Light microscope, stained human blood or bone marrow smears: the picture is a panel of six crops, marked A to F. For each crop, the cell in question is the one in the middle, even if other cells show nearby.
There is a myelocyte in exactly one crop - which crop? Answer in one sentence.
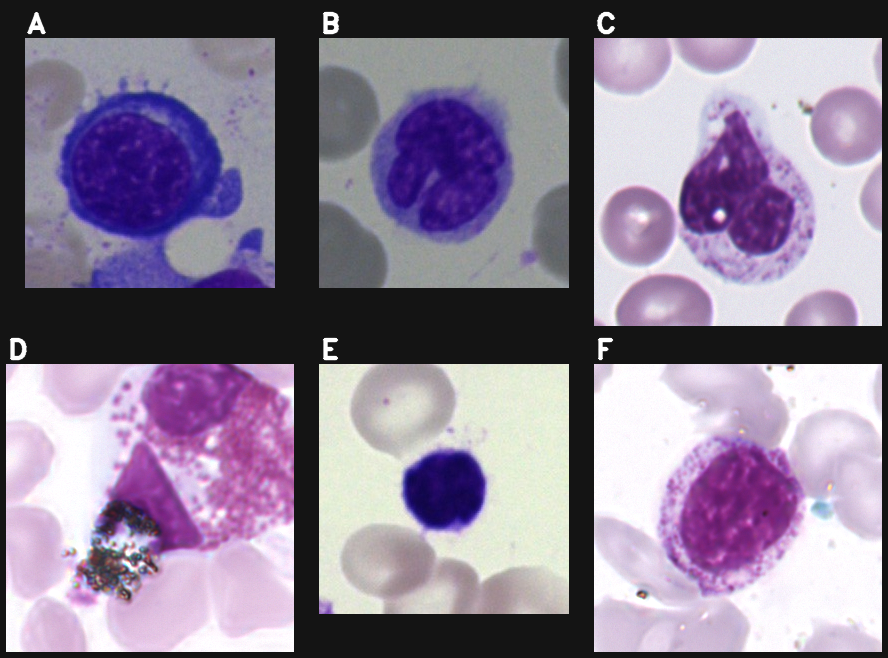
Crop F is identified as the crop showing a myelocyte.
